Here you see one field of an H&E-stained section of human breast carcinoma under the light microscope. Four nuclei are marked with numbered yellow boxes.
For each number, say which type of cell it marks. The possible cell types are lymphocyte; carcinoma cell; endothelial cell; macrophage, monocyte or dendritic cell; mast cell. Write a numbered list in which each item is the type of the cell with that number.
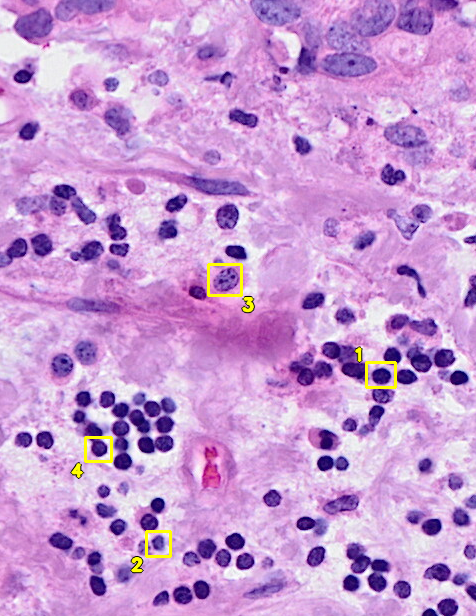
1. lymphocyte
2. lymphocyte
3. mast cell
4. lymphocyte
